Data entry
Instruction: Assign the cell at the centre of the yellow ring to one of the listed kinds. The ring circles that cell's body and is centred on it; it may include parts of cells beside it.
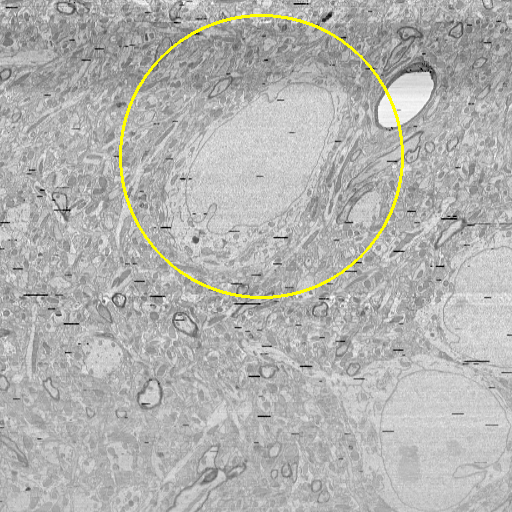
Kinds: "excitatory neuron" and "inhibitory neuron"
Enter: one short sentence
The centre of the ring falls on an excitatory neuron.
